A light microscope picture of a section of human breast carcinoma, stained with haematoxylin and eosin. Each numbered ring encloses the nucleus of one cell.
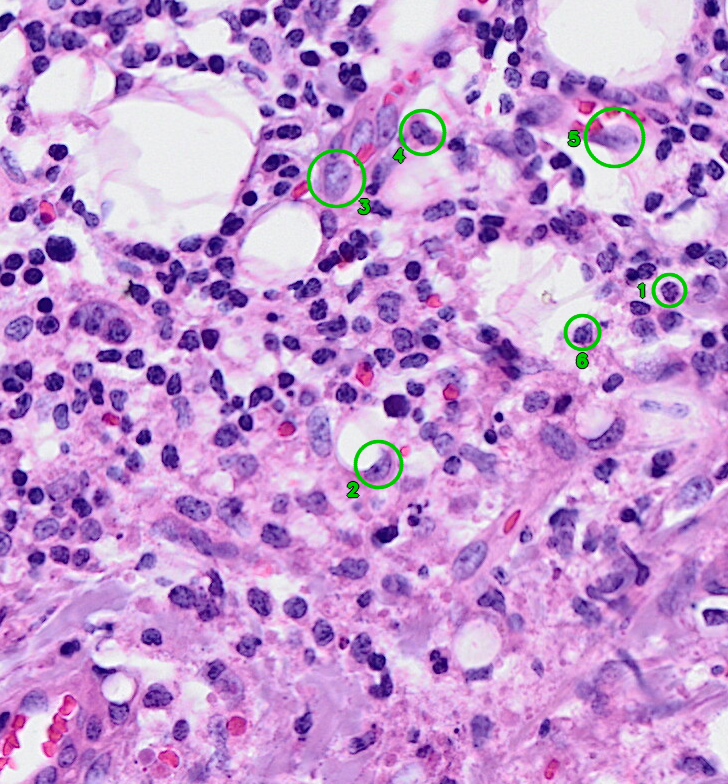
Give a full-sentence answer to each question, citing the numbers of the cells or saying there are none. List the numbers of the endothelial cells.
The cells marked 2, 3 and 5 in the section are endothelial cells.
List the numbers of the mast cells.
Cell number 4 alone is a mast cell; the rest are not.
